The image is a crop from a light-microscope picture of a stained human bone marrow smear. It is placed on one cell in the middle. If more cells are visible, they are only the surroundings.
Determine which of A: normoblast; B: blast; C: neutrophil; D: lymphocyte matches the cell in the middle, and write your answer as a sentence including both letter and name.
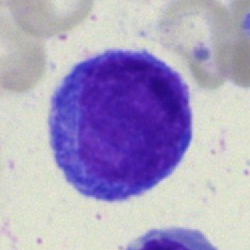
The centrally positioned cell is a blast, consistent with option B, which is correct.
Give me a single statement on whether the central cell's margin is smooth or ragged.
If you check the edge, you will find it smooth without projections.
